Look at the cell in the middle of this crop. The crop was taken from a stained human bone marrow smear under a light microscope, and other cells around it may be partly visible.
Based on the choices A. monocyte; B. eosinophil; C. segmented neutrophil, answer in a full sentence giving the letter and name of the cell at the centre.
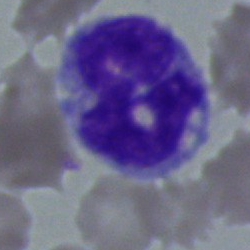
Given that the cell in the middle is a monocyte, option A is correct.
